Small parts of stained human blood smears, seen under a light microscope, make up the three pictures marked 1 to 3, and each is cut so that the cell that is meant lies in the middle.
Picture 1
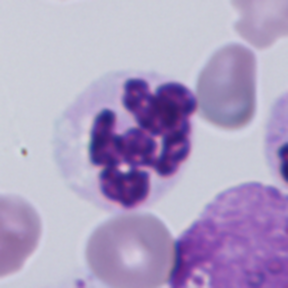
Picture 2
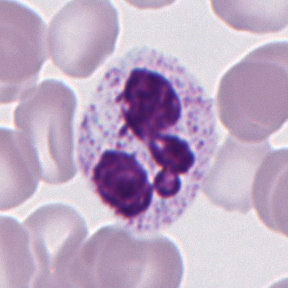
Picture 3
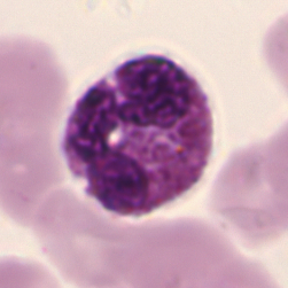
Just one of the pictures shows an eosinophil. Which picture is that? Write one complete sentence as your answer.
Picture 3 shows the eosinophil.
